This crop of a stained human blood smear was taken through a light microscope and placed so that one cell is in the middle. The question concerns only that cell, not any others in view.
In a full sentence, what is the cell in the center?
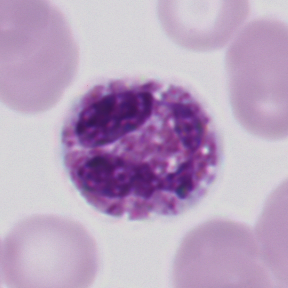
The crop shows an eosinophil in its centre.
